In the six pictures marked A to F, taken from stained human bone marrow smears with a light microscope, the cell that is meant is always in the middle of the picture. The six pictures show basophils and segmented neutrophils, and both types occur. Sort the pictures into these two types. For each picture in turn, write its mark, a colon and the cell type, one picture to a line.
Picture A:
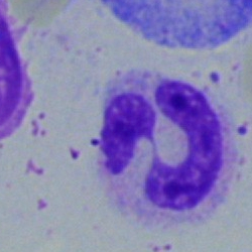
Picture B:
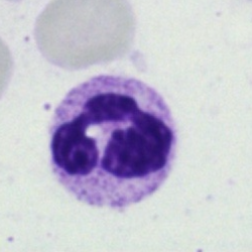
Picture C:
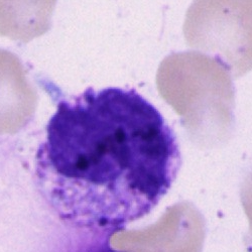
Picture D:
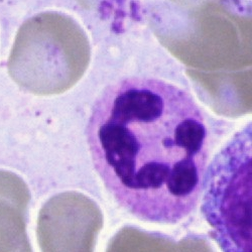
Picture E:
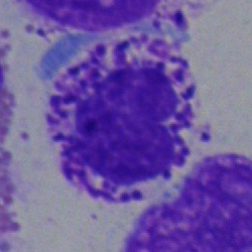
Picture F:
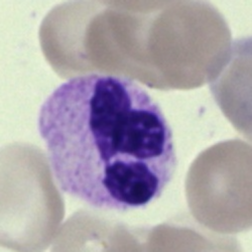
A: segmented neutrophil
B: segmented neutrophil
C: basophil
D: segmented neutrophil
E: basophil
F: segmented neutrophil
